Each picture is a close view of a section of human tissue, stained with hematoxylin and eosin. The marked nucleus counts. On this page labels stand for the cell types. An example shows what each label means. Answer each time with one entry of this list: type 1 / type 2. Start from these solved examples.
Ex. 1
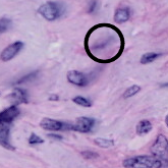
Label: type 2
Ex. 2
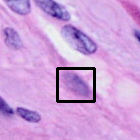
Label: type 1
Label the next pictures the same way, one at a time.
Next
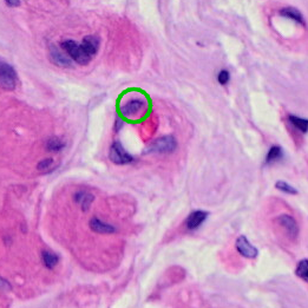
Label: type 1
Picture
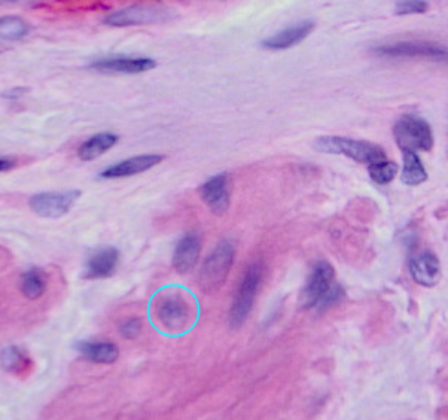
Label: type 2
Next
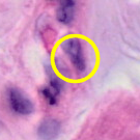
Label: type 1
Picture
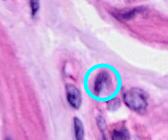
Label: type 1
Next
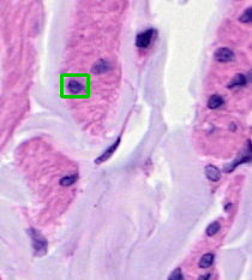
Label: type 2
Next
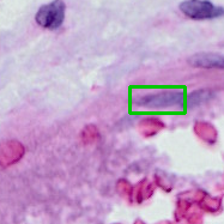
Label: type 1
